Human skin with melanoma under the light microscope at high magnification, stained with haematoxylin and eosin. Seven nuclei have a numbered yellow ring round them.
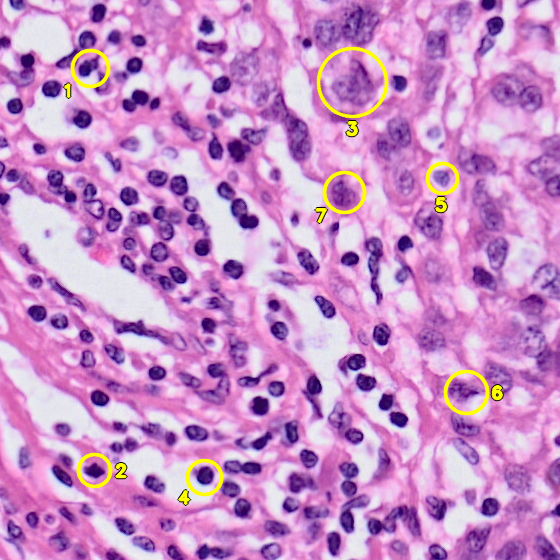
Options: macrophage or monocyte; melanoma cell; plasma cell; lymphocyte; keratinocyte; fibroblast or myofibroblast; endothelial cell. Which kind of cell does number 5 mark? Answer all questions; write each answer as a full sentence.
The marked cell with the number 5 is recognised as a lymphocyte.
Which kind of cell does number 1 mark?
Nucleus 1 in this section belongs to a lymphocyte.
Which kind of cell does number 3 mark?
In the marked set, the cell given number 3 is a melanoma cell.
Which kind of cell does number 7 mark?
The cell referred to as 7 is a melanoma cell.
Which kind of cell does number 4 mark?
The cell with the number 4 is a lymphocyte.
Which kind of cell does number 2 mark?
The cell numbered 2 has been identified as a lymphocyte.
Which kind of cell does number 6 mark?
The cell referred to as 6 is a melanoma cell.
